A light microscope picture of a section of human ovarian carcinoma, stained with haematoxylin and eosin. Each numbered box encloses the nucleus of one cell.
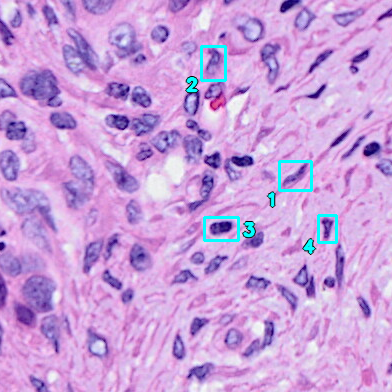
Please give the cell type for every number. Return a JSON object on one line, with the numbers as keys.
{"1": "fibroblast", "2": "fibroblast", "3": "lymphocyte", "4": "fibroblast"}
